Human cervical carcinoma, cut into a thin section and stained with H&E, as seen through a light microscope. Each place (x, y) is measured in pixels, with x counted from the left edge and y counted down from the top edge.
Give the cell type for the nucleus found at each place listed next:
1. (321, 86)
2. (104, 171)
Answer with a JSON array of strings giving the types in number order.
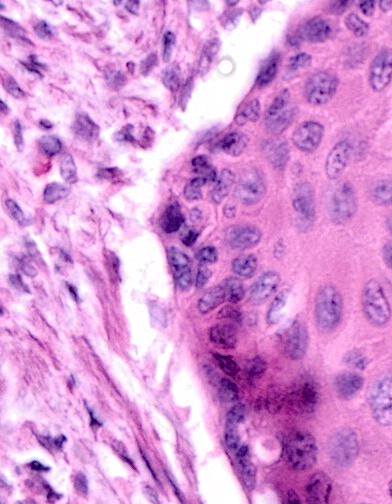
["squamous carcinoma cell", "fibroblast"]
